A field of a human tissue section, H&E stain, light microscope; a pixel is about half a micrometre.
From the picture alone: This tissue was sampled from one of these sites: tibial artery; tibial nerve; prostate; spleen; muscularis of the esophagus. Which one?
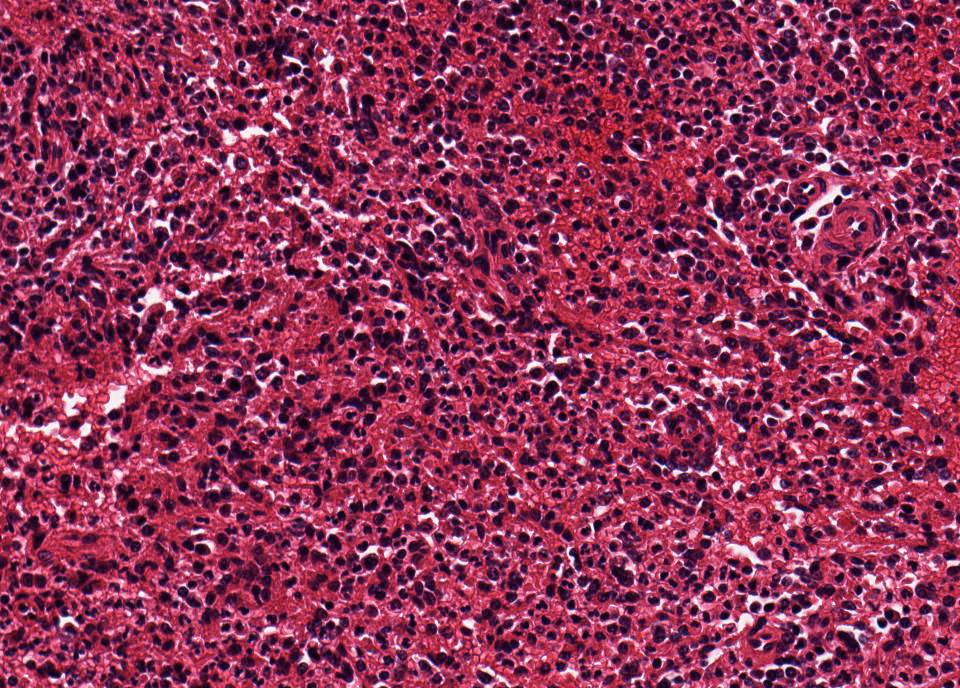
spleen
